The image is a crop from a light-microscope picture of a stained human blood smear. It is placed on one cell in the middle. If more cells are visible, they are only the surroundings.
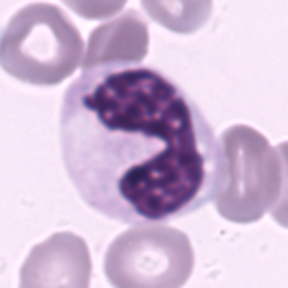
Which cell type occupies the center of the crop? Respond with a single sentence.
The center cell of this crop is a band neutrophil.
